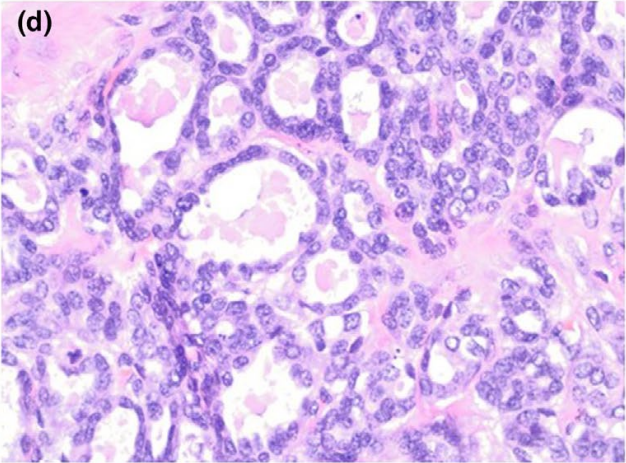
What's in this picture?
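Small tubules of tumour cells are packed closely together, many holding pink, homogeneous colloid-like material in their lumens. The lining cells have oval, pale, vesicular nuclei that crowd and overlap, with little cytoplasm. Thin bands of pink hyalinised stroma lie between the tubules.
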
